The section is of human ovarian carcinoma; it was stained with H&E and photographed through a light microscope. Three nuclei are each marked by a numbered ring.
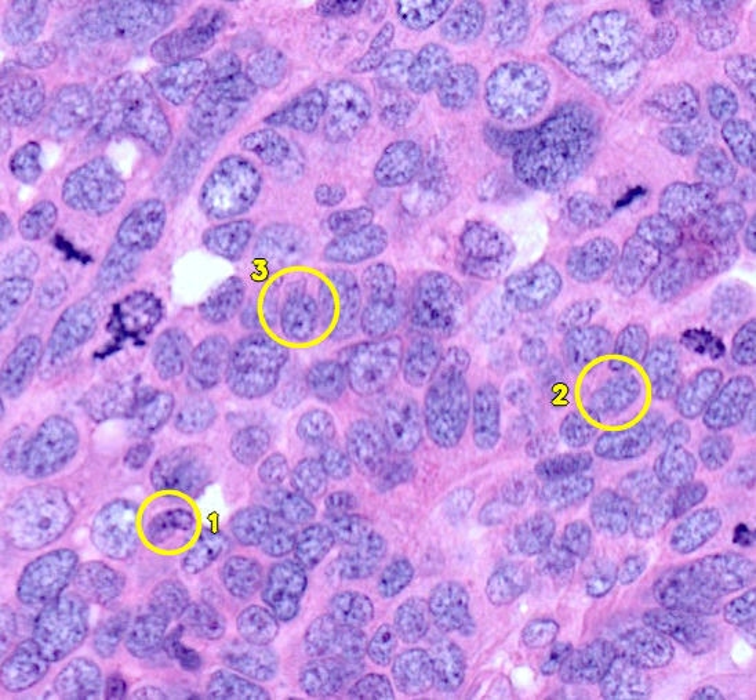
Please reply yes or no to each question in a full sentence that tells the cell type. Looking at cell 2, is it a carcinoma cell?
Yes, it is a carcinoma cell that number 2 identifies.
